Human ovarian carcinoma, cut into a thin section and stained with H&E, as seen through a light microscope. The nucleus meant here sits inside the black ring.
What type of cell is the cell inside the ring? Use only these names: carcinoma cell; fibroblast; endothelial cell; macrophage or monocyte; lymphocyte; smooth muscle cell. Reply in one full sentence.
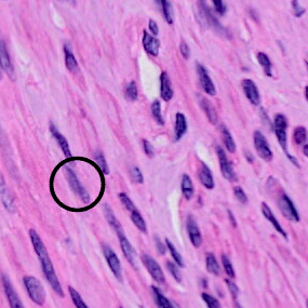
At the level of cell identity, the cell inside the ring is a smooth muscle cell.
